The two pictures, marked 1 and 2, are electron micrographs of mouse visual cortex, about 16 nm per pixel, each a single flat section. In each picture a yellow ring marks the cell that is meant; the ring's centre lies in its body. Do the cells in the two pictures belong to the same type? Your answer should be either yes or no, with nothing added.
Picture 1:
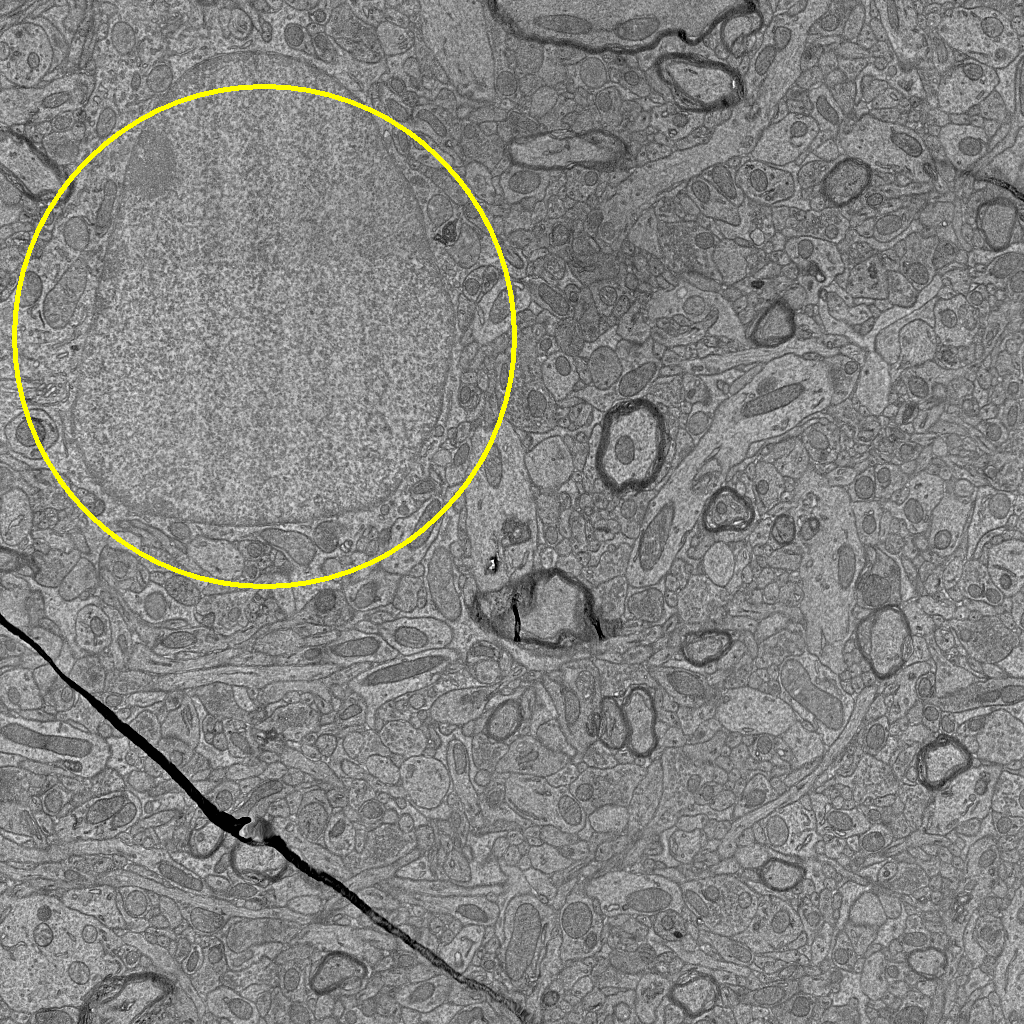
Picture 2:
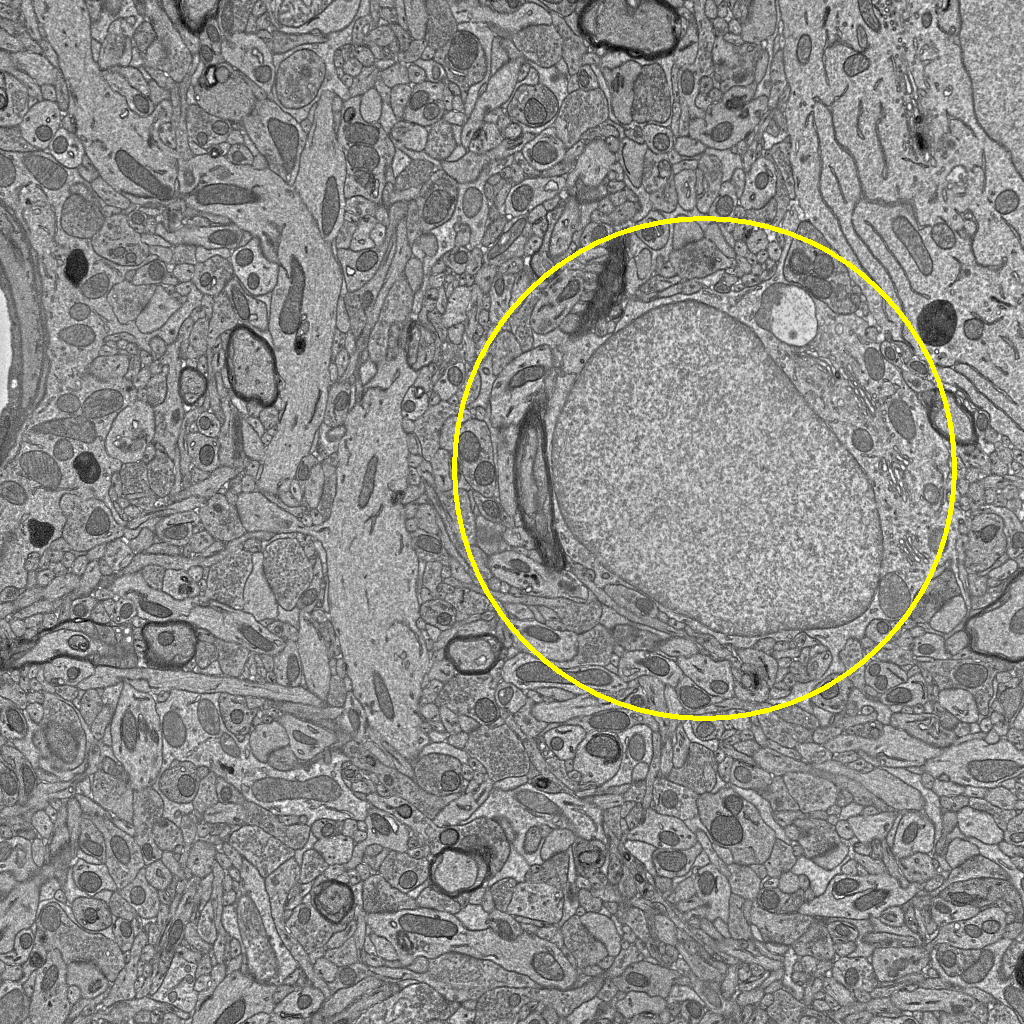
yes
